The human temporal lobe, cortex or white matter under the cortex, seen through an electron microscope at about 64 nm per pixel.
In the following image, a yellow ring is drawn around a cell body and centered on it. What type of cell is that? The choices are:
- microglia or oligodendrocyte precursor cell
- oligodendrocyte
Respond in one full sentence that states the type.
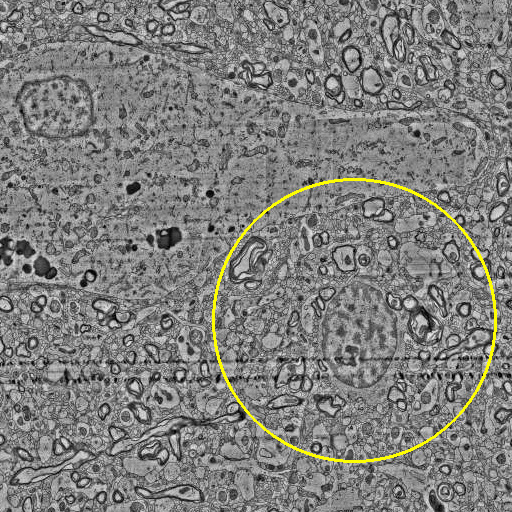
The cell at the center of the yellow ring in the image is an oligodendrocyte.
